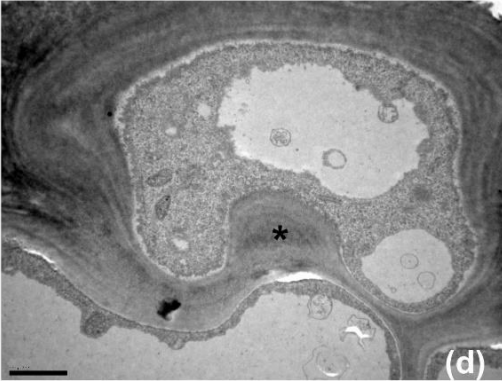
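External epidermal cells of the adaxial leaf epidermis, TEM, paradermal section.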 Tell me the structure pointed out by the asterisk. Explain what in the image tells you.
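The asterisk lies on a rounded lump of wall material bulging into the cell.
Cell wall pad.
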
